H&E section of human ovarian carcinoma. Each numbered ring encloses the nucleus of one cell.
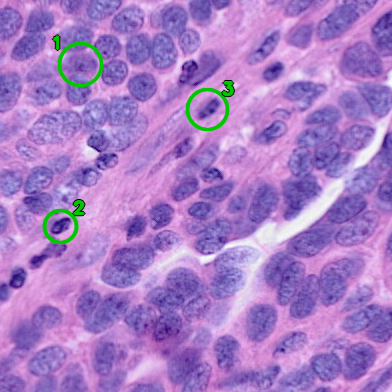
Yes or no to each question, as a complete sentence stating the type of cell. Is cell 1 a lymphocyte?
No, the one with number 1 is a carcinoma cell, not a lymphocyte.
